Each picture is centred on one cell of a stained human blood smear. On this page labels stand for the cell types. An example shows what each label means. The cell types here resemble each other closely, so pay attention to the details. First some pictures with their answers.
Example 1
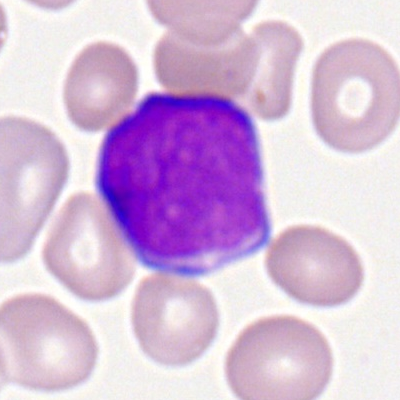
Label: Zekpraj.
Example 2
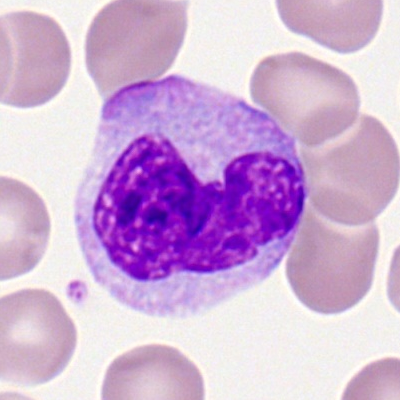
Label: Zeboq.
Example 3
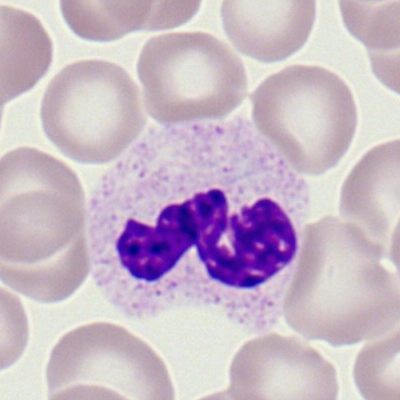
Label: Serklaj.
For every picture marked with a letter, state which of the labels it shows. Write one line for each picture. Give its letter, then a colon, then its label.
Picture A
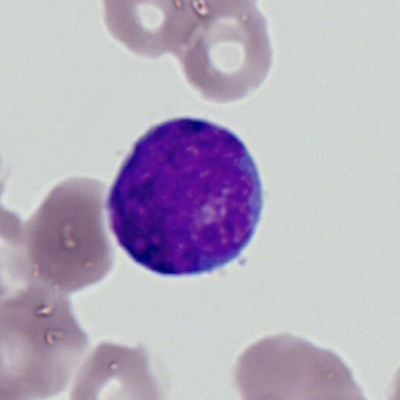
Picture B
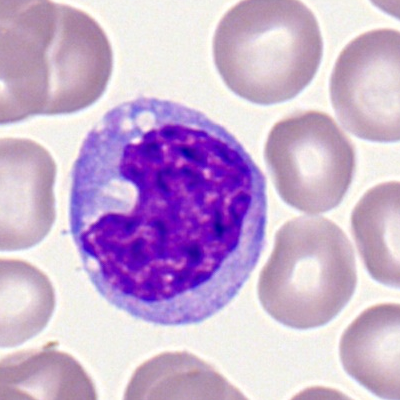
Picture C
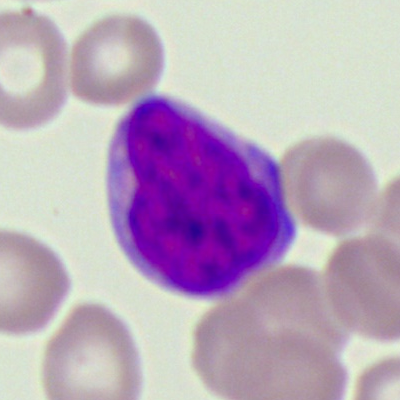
A: Zekpraj.
B: Zeboq.
C: Zekpraj.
